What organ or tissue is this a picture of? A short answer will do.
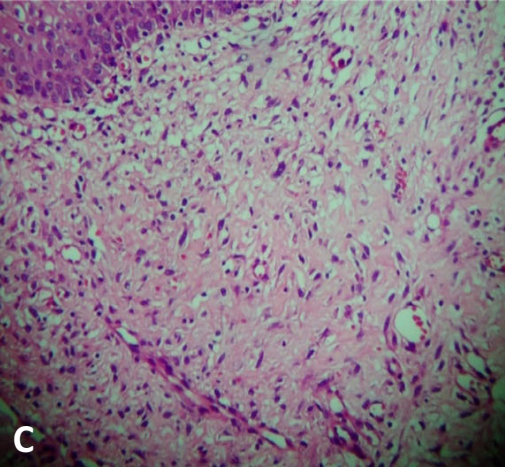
Stroma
